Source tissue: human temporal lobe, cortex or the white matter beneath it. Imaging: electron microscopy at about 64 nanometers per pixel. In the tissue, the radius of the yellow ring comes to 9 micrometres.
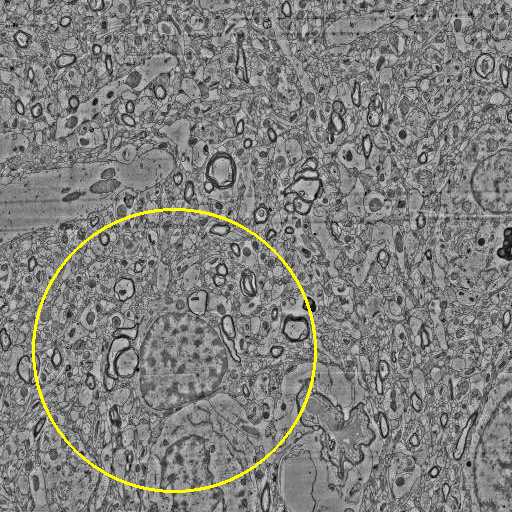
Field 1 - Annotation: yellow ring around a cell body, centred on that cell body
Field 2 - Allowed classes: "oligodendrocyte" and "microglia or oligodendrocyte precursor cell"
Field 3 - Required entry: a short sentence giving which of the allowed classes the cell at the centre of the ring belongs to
The centred cell is an oligodendrocyte.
